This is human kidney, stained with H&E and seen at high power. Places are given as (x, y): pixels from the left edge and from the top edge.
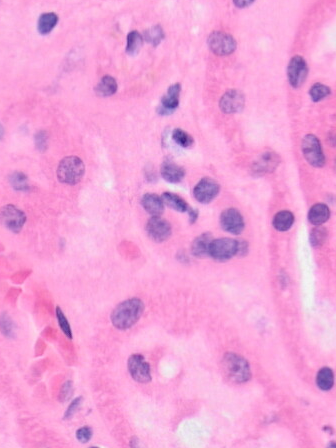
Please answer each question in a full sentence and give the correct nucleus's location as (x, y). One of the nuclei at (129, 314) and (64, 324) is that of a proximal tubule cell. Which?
The nucleus at (129, 314) is the member of the pair belonging to a proximal tubule cell.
